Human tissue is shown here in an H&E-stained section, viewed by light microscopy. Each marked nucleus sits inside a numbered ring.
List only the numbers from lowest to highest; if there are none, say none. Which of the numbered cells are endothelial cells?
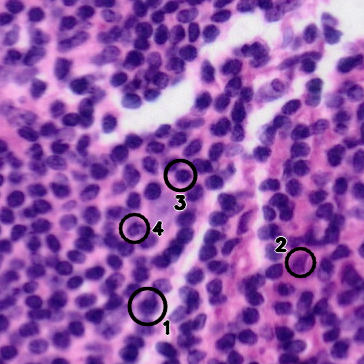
2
